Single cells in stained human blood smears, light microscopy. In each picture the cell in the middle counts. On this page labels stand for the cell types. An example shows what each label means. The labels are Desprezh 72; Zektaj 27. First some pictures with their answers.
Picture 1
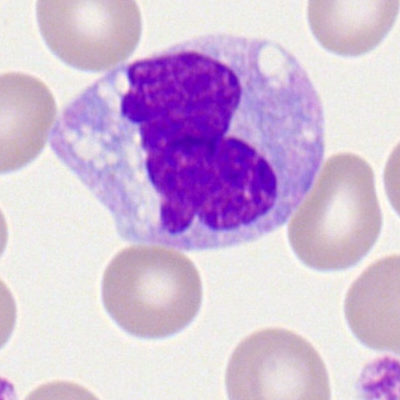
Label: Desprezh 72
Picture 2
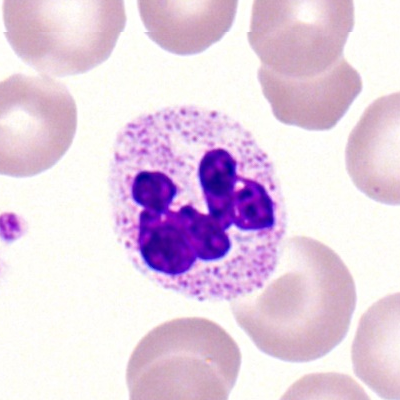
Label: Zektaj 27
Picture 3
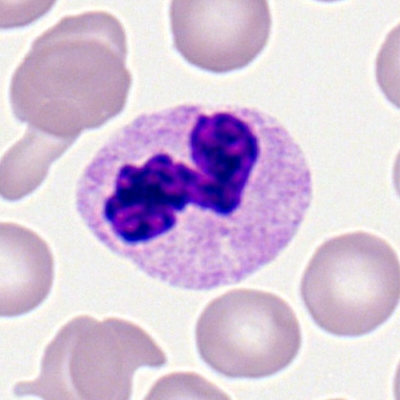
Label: Zektaj 27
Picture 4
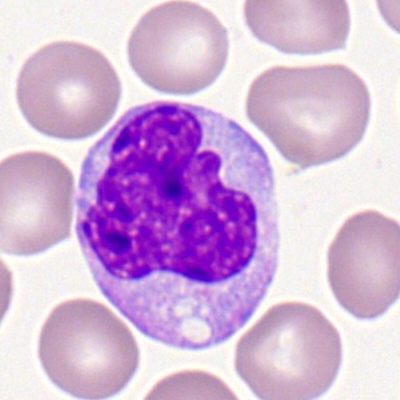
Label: Desprezh 72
